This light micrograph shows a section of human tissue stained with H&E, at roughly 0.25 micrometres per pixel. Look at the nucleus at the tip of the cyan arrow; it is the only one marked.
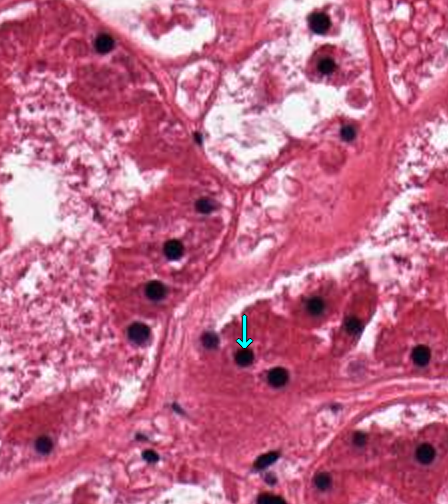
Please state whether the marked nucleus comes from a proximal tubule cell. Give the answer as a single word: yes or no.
yes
